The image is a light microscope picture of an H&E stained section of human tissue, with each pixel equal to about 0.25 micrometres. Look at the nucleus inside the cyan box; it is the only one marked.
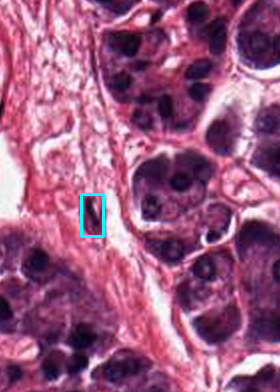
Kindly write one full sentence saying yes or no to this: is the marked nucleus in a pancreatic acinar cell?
No, as for the marked nucleus, it belongs to a supporting cell and not to a pancreatic acinar cell.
